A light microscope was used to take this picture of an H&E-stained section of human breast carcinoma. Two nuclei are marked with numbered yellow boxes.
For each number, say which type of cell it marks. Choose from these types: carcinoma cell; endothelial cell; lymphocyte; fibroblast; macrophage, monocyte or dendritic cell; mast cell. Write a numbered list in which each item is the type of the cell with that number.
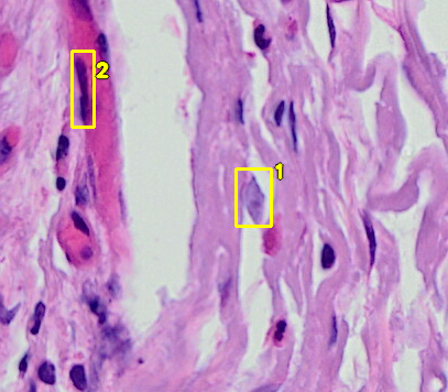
1. fibroblast
2. endothelial cell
